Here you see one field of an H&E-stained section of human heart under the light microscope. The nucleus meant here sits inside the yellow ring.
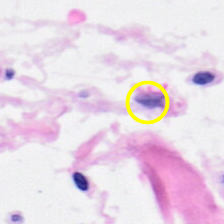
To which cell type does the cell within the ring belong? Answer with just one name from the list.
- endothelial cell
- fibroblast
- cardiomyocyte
fibroblast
